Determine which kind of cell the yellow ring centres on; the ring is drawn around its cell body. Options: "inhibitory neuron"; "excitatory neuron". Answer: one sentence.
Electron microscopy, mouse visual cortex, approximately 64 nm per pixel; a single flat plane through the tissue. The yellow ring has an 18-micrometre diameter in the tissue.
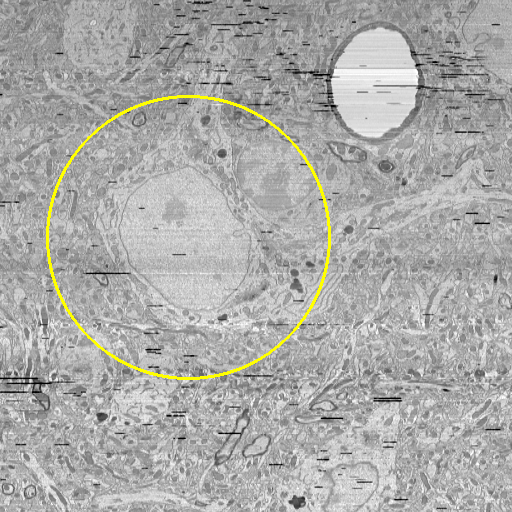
The ring centres on an inhibitory neuron.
